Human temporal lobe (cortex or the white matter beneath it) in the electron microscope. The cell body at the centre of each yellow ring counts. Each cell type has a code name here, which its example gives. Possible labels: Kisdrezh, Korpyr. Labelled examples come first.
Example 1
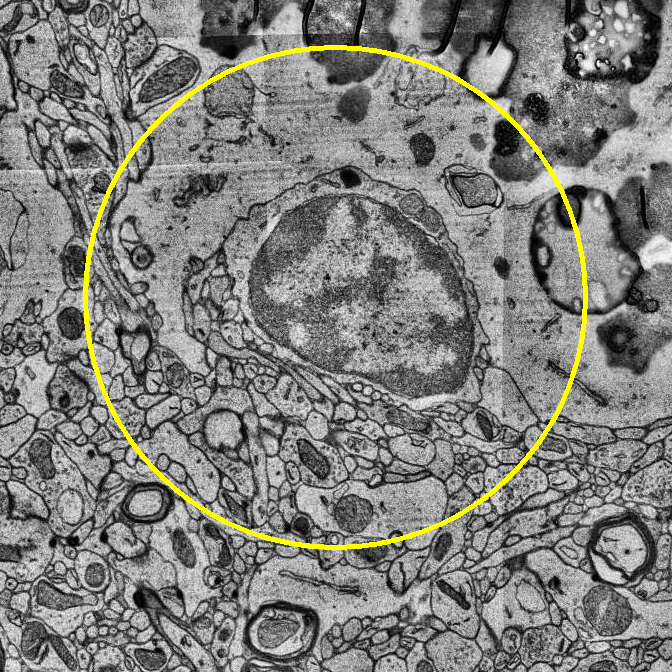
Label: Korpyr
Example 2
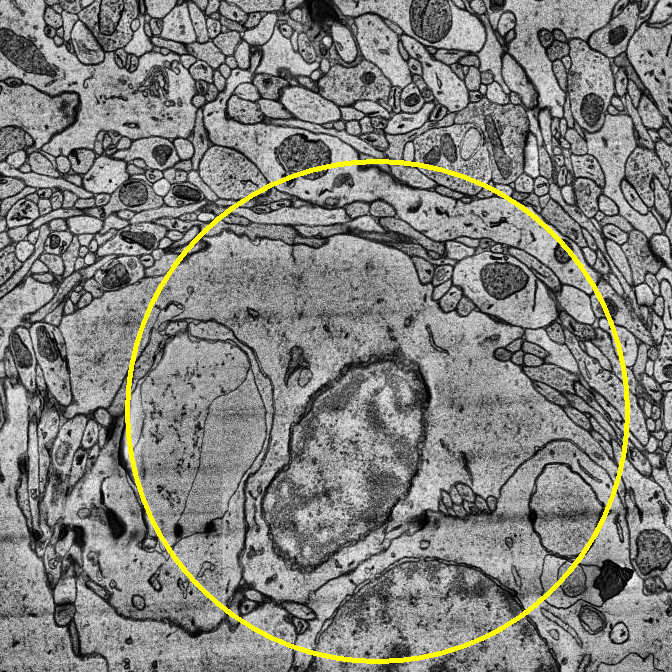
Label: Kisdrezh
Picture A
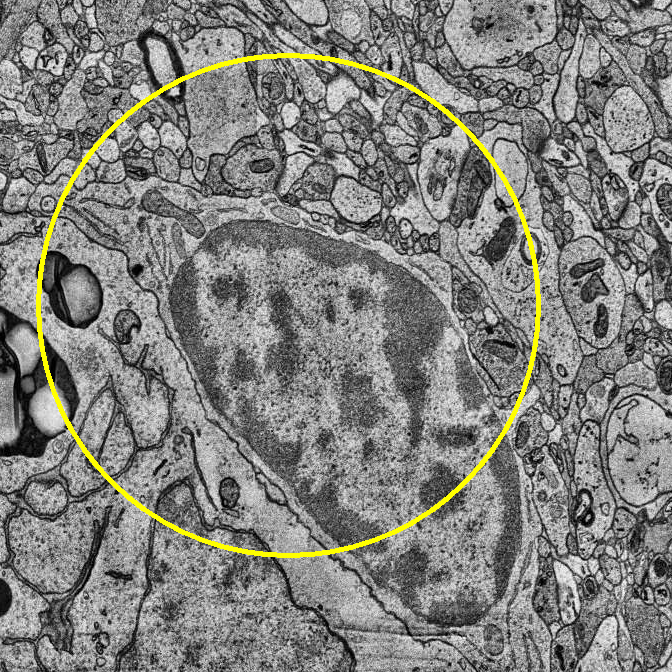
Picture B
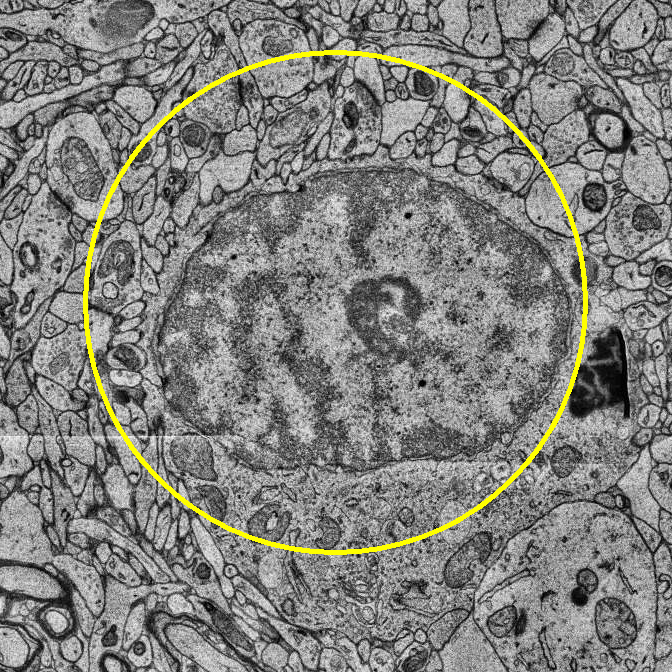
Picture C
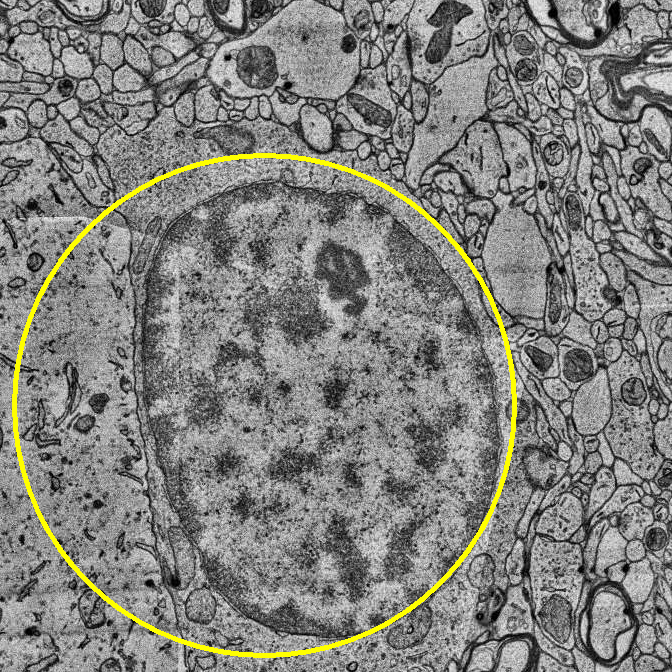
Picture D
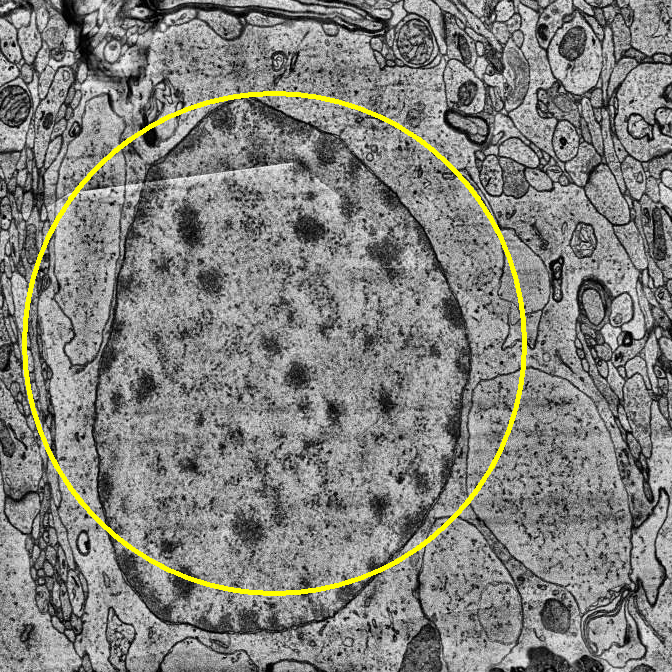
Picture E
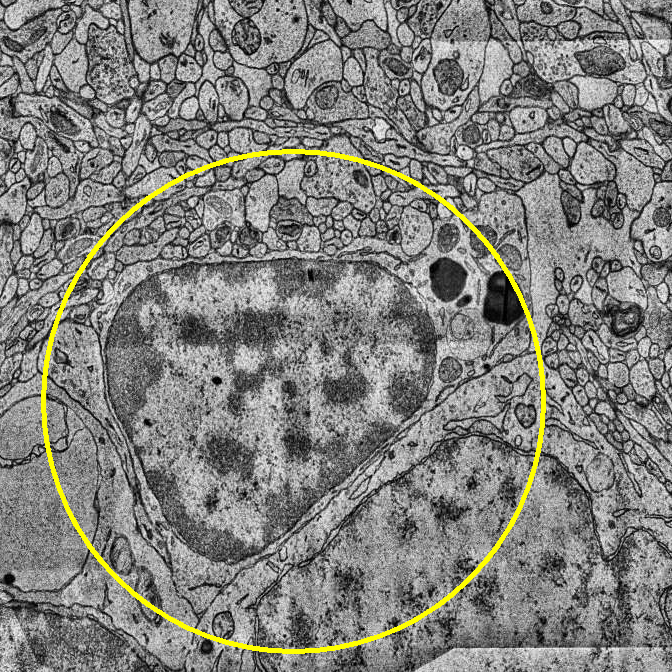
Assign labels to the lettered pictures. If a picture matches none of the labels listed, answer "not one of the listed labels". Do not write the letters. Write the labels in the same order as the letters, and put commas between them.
Korpyr, not one of the listed labels, not one of the listed labels, Kisdrezh, Korpyr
